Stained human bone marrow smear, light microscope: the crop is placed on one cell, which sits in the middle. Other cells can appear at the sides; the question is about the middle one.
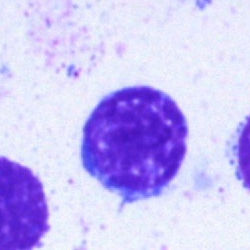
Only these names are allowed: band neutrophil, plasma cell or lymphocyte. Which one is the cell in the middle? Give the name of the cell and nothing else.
lymphocyte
